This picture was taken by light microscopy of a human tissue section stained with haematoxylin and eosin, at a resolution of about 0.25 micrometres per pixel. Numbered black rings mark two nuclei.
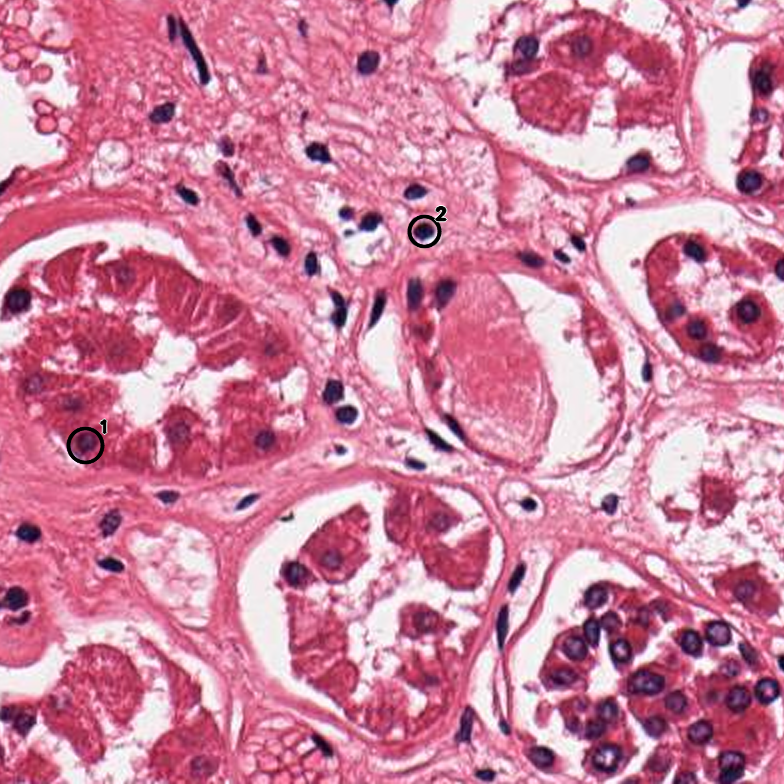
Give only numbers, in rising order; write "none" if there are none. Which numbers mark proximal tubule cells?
1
